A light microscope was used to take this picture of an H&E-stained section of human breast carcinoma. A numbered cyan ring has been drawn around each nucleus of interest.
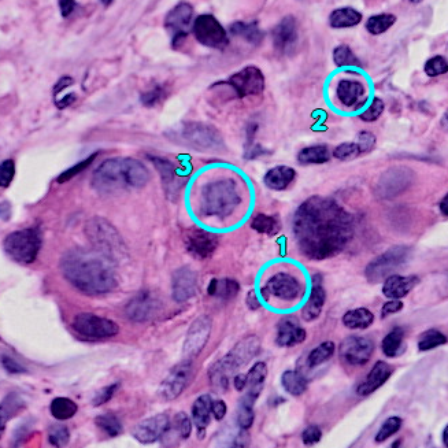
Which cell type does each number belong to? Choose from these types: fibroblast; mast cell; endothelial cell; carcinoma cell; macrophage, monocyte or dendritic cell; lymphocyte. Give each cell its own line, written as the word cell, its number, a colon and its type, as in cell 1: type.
cell 1: lymphocyte
cell 2: lymphocyte
cell 3: carcinoma cell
